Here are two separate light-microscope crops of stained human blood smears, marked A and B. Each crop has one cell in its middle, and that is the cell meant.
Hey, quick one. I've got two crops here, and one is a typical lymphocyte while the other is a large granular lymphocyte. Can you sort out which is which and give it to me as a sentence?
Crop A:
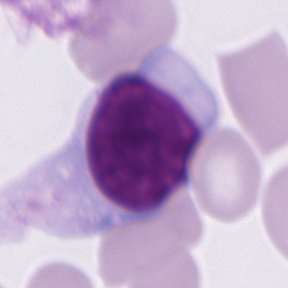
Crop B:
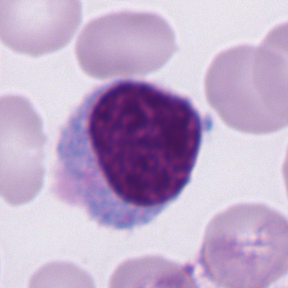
Placed in the middle of crop A is a large granular lymphocyte, and in the middle of crop B, a typical lymphocyte.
